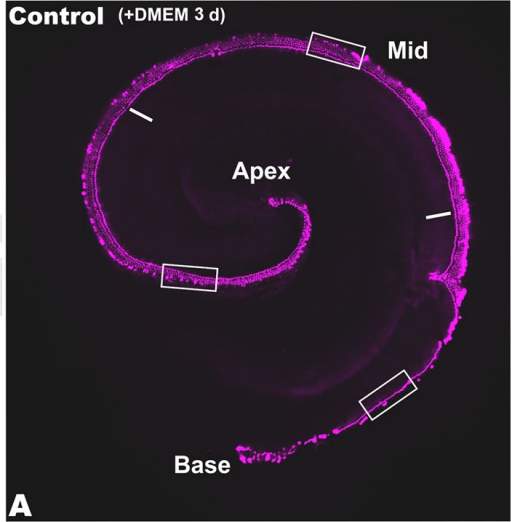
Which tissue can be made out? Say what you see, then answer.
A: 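A flat spiral band of tissue coiled more than one turn. A continuous strip of labelled cells runs along the spiral. So: cochlea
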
